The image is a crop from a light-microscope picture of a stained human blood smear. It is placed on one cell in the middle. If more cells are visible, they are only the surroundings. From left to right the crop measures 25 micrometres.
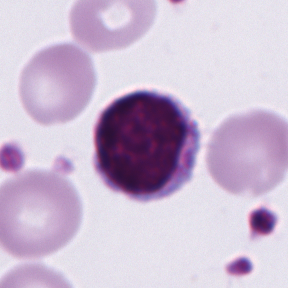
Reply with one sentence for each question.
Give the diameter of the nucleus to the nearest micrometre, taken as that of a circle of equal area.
The nucleus is about 8 micrometres across.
